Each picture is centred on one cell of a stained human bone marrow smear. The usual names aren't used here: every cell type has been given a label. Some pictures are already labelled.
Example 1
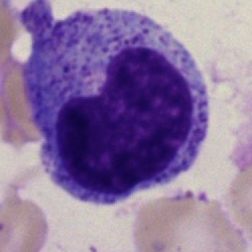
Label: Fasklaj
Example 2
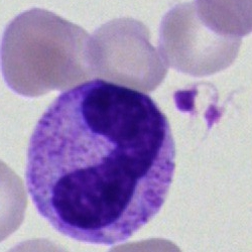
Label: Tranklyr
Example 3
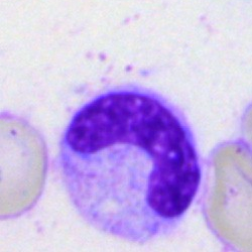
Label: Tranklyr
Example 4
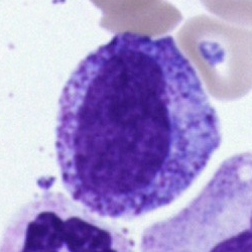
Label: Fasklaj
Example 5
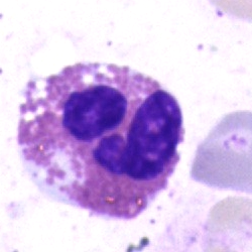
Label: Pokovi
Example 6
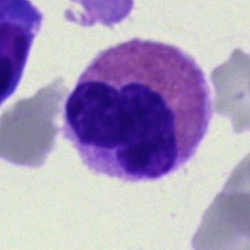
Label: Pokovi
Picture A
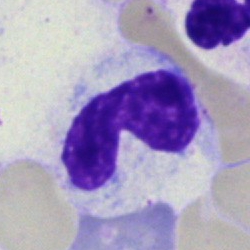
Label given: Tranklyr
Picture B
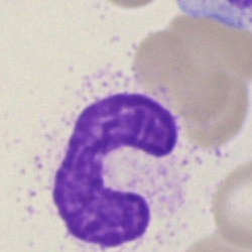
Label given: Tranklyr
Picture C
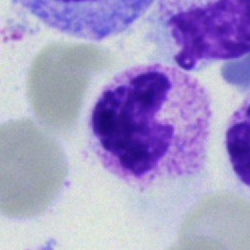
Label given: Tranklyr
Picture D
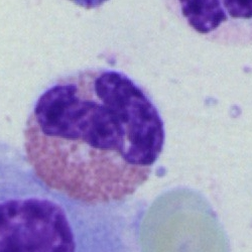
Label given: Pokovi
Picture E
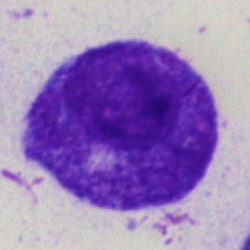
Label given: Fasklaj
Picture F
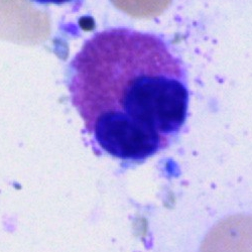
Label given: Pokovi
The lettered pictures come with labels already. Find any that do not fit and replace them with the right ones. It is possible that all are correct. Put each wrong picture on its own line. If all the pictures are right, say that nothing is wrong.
Every label is right.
